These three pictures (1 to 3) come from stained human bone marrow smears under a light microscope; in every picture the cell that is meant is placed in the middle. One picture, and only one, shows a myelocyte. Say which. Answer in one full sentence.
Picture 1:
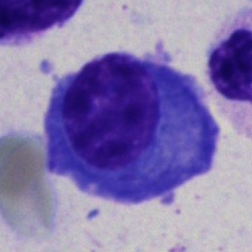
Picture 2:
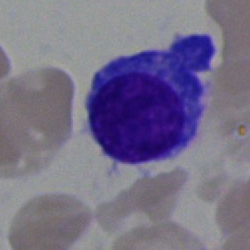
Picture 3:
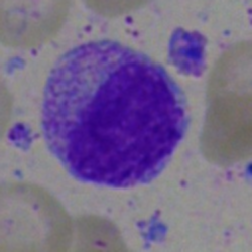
Picture 3 is the one that shows the myelocyte.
